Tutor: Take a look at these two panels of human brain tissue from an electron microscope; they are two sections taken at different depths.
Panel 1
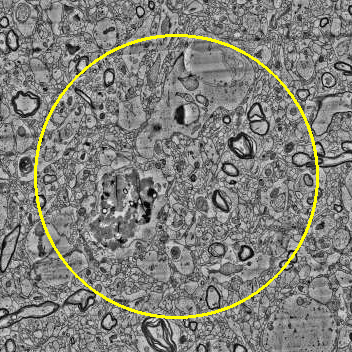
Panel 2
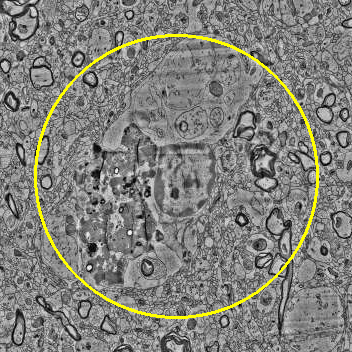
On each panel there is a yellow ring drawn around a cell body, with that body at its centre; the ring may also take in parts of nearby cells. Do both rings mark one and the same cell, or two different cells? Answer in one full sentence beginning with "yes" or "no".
Yes, the same cell appears within both yellow rings.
